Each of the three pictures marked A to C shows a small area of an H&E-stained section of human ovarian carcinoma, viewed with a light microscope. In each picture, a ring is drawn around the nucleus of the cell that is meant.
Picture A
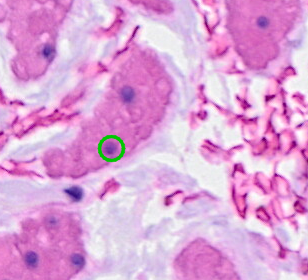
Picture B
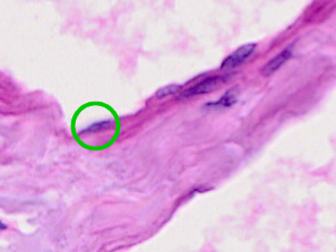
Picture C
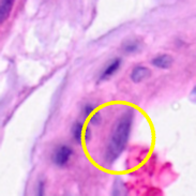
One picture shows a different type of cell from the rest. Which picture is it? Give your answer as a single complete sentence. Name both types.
Picture A is the odd one out: it shows a smooth muscle cell, while the others show endothelial cells.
